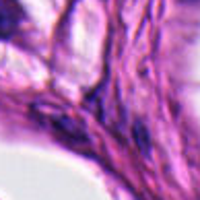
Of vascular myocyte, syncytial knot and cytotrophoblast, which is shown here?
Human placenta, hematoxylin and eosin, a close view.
vascular myocyte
